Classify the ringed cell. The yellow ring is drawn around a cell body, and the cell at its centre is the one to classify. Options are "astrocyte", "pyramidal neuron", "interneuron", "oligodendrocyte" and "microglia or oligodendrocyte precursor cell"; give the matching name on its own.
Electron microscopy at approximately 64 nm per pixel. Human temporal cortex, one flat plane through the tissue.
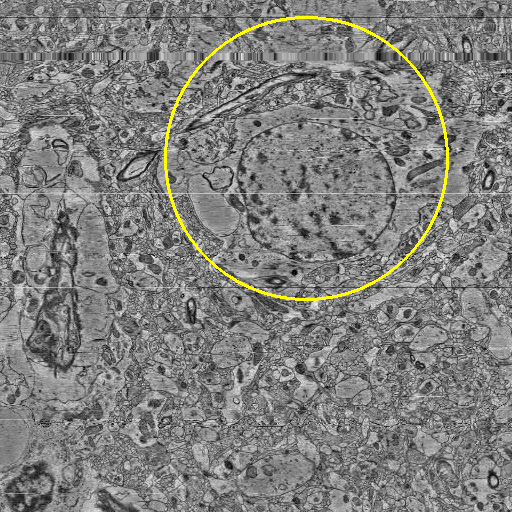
astrocyte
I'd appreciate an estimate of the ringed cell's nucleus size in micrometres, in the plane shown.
The ringed cell's nucleus is about 10 micrometres across in this plane.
